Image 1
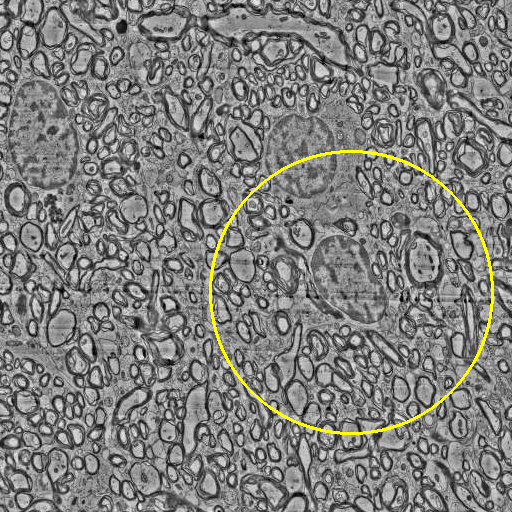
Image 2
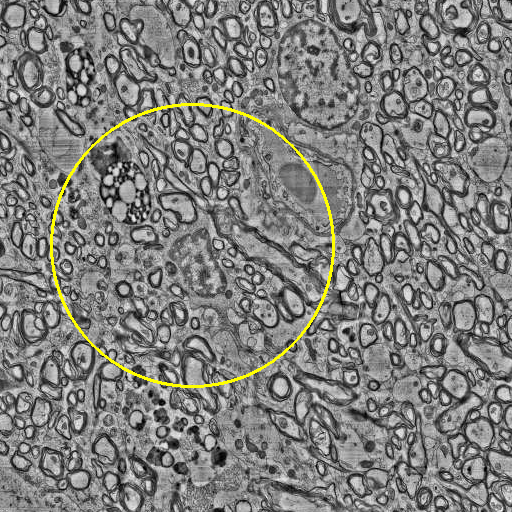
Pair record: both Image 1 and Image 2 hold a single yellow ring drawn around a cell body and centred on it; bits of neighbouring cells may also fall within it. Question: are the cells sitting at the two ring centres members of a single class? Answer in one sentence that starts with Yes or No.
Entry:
No, the ring-centre cells in Image 1 and Image 2 come from two classes.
